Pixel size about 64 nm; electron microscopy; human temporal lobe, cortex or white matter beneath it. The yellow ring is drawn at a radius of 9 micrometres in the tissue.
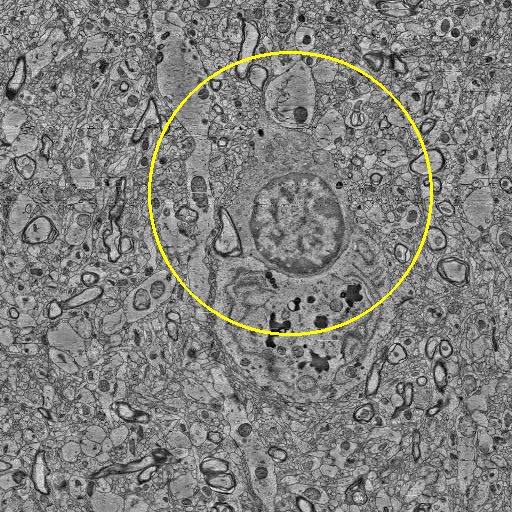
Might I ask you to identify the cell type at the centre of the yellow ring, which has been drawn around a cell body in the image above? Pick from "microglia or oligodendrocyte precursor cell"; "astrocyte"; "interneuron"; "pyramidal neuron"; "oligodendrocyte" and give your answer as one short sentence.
The centre of the ring falls on an oligodendrocyte.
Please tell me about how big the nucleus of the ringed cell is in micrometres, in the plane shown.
Approximately 6 micrometres across in this plane.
